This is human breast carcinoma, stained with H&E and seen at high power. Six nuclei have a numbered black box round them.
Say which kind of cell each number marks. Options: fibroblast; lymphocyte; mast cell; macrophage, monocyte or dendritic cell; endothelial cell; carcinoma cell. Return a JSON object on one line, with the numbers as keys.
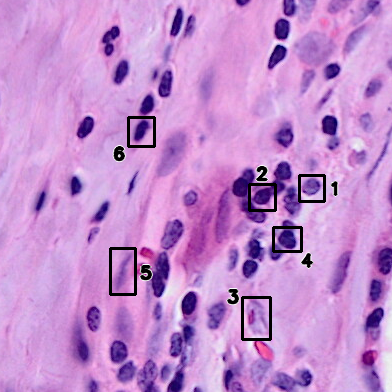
{"1": "lymphocyte", "2": "lymphocyte", "3": "endothelial cell", "4": "lymphocyte", "5": "endothelial cell", "6": "lymphocyte"}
